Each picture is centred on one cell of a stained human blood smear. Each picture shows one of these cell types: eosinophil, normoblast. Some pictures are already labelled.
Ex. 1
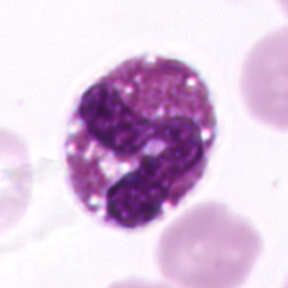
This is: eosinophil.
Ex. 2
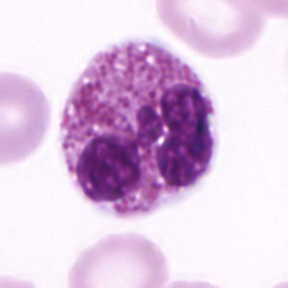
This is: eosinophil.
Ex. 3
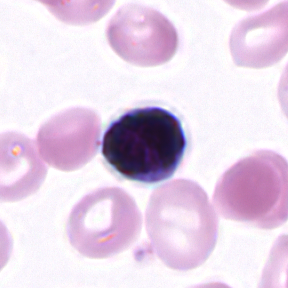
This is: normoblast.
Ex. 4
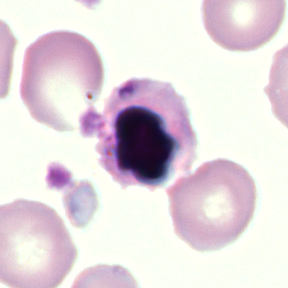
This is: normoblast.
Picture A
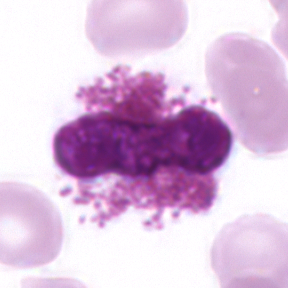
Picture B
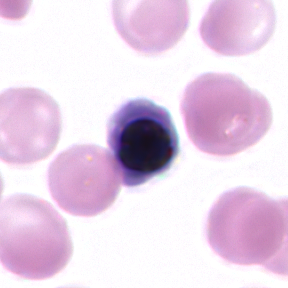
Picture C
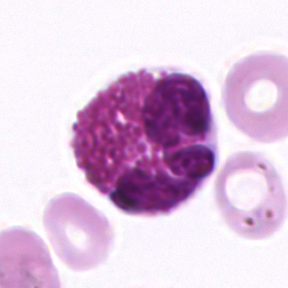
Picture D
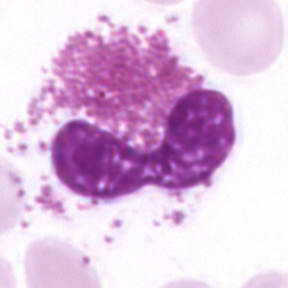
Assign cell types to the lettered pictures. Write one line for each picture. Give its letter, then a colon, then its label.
A: eosinophil.
B: normoblast.
C: eosinophil.
D: eosinophil.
